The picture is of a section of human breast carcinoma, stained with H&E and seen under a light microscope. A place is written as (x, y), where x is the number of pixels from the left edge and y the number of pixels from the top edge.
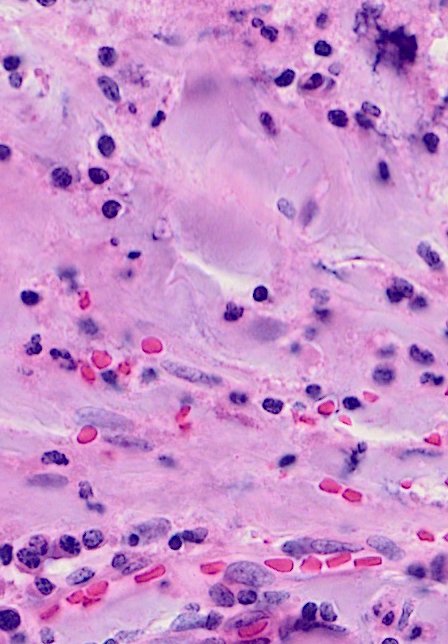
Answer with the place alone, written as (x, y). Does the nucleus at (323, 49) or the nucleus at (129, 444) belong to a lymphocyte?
(323, 49)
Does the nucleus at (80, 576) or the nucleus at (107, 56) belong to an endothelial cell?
(80, 576)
